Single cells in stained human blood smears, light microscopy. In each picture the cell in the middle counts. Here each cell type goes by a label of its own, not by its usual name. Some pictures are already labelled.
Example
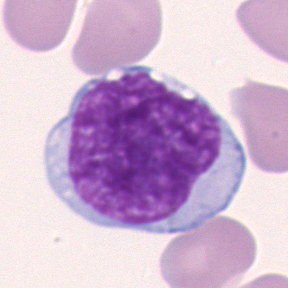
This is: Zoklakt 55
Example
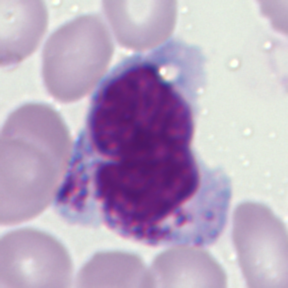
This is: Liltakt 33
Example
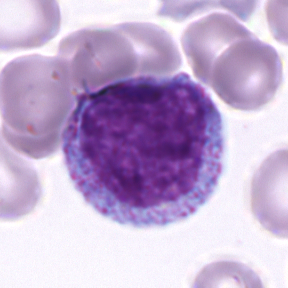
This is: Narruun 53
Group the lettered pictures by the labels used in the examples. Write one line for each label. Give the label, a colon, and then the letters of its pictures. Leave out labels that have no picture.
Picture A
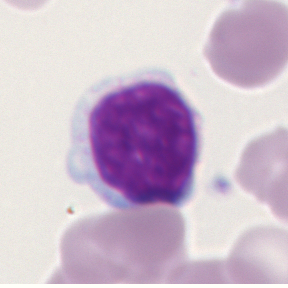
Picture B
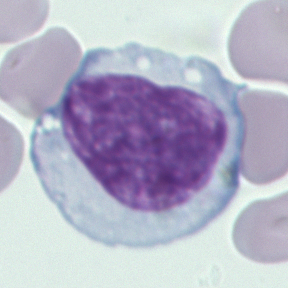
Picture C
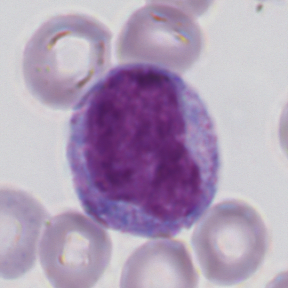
Zoklakt 55: B
Liltakt 33: A
Narruun 53: C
